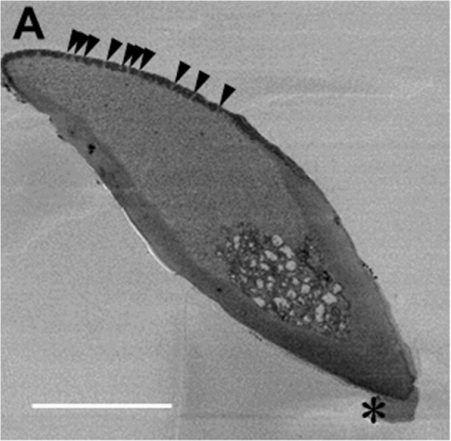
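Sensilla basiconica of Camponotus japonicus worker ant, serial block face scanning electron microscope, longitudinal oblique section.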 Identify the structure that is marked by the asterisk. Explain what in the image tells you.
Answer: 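Socket cuticle. The asterisk lies at the narrow lower end of the elongated shaft. A separate grey cuticular piece sits against the base of the shaft there.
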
